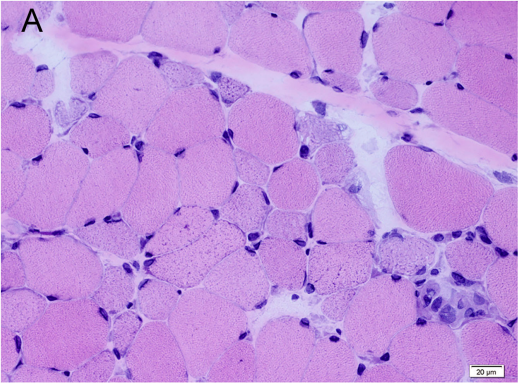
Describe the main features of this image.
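This is skeletal muscle cut across, with myofibers of widely varying size rather than a uniform mosaic. Many smaller fibers have bluish-purple cytoplasm and stand out from the larger pink fibers, a look typical of regenerating fibers. In the lower right a fiber is filled by a cluster of dark nuclei, consistent with a necrotic fiber being invaded by cells. A broad pale pink band of connective tissue crosses the field, and spaces between fibers are widened, in keeping with fibrosis. Dark, flattened nuclei sit at the fiber edges throughout.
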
